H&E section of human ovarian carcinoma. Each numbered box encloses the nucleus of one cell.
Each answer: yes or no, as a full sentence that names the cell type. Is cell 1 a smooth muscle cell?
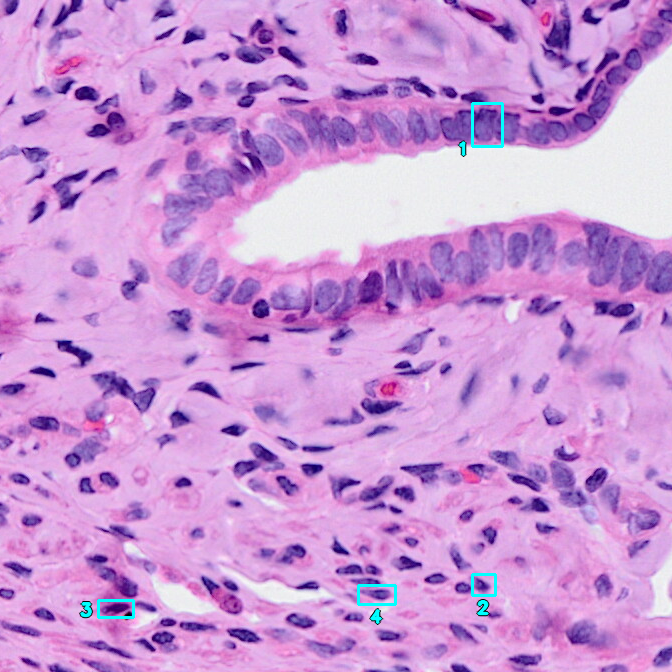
No, the cell referred to as 1 is a carcinoma cell, not a smooth muscle cell.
